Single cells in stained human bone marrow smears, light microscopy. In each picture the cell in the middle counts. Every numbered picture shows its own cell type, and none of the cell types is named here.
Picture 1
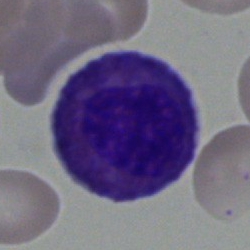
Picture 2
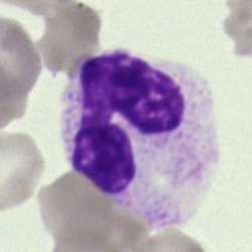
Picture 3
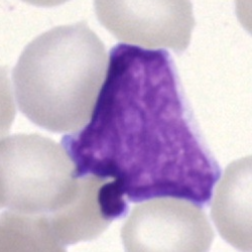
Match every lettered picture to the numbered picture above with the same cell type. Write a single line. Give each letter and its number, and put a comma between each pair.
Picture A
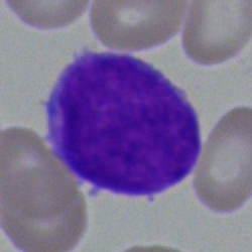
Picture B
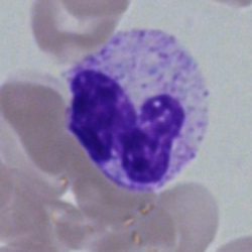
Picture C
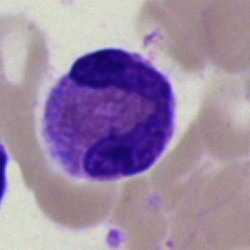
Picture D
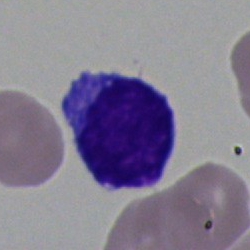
A 3, B 2, C 1, D 3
